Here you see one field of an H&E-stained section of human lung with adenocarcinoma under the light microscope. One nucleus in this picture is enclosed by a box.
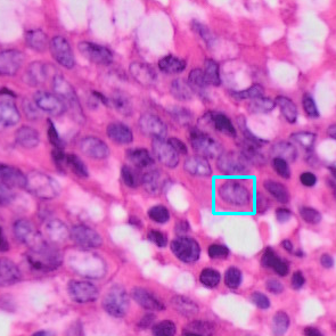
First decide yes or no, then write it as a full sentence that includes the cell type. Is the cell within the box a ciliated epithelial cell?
Yes, the cell within the box in this field is a ciliated epithelial cell.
